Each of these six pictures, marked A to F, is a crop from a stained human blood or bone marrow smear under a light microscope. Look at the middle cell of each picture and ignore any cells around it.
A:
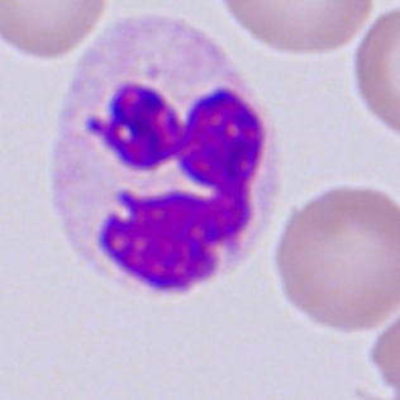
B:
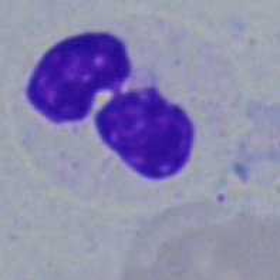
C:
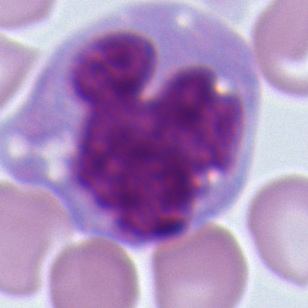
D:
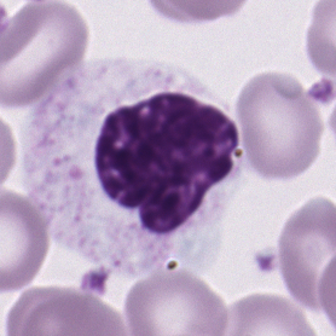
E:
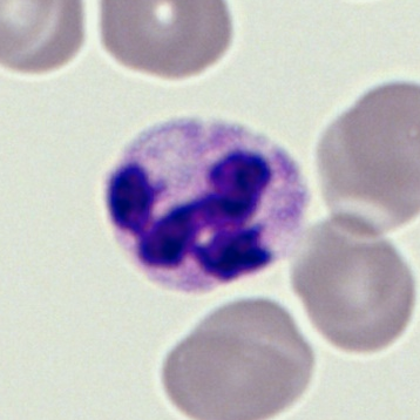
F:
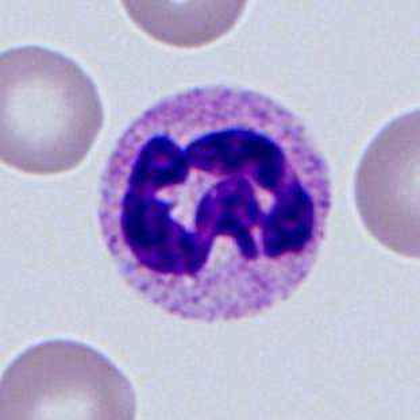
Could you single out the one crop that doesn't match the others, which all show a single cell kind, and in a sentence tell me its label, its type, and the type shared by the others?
Crop C differs, its cell being a monocyte, whereas the other crops show segmented neutrophils.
